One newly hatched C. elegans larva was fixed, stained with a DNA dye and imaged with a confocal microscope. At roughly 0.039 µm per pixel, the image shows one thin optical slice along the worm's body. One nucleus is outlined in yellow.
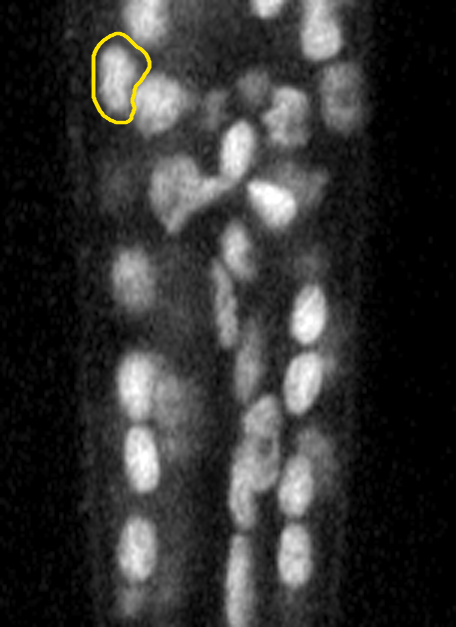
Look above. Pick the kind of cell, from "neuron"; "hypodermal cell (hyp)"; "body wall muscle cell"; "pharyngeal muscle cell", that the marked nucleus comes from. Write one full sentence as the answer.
This nucleus is from a neuron.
